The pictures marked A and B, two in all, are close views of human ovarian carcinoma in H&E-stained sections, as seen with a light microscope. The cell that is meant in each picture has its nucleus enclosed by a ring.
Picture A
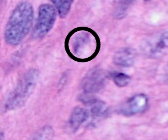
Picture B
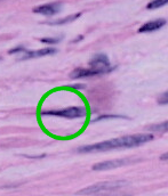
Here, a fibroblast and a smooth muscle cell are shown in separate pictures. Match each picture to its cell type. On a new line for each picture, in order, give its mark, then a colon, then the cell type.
A: fibroblast
B: smooth muscle cell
